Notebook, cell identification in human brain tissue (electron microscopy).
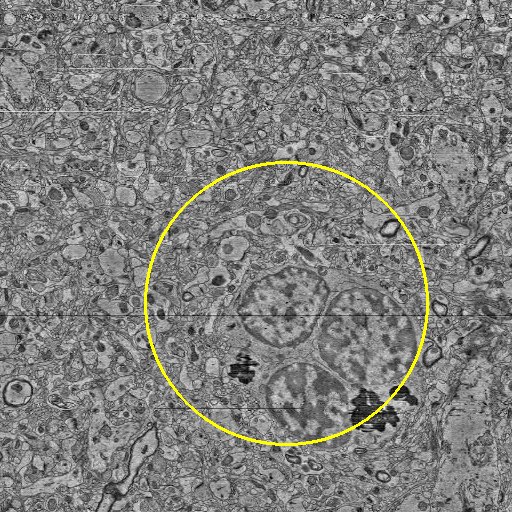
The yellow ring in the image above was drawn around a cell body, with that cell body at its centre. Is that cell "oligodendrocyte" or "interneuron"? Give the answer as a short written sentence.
The cell in the ring is an oligodendrocyte.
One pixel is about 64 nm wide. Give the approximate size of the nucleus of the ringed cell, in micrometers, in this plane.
Roughly 6 micrometres by 5 micrometres, in this plane.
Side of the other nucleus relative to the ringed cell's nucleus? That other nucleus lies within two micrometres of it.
The other nucleus lies to the lower right of it in the picture.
